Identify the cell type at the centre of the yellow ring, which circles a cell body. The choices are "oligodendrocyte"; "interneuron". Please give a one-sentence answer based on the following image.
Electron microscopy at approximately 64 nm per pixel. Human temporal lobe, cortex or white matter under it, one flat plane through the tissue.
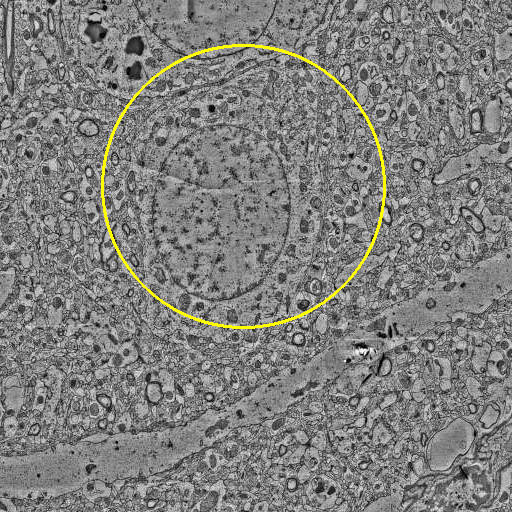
The cell marked by the ring is an interneuron.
